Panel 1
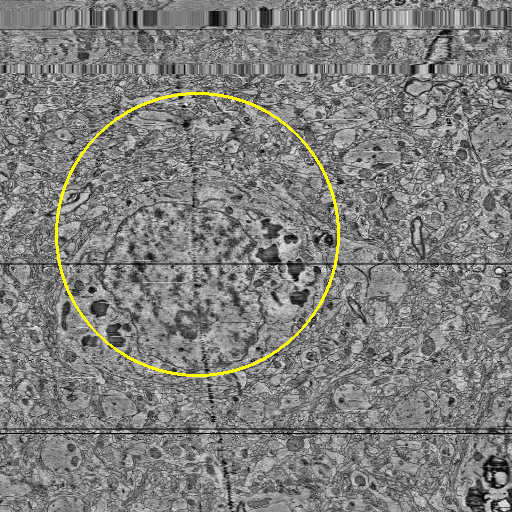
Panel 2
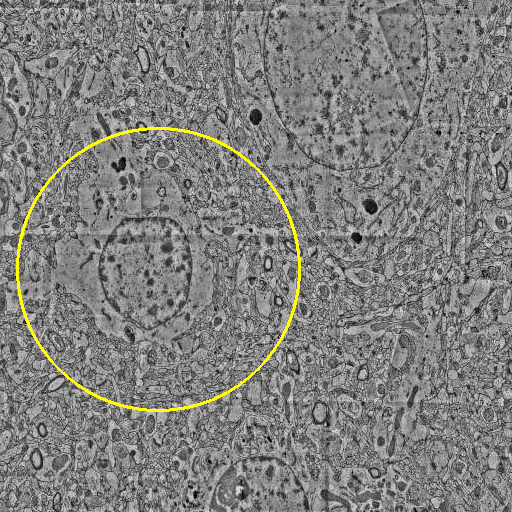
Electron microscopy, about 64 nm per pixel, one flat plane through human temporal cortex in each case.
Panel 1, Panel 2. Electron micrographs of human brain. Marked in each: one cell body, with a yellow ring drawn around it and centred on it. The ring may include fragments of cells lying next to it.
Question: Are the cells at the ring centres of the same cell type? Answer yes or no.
no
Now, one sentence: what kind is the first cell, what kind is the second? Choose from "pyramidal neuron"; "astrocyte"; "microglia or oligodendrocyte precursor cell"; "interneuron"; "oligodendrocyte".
The first picture has an interneuron at its ring centre, and the second has an astrocyte.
